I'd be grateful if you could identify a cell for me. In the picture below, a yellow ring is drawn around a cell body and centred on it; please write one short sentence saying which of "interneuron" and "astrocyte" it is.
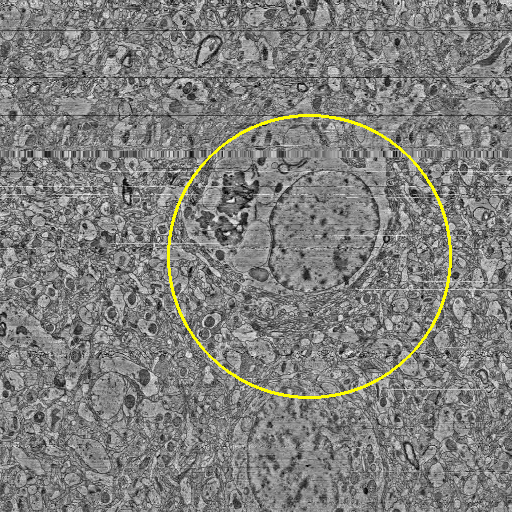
The cell under the ring's centre is an astrocyte.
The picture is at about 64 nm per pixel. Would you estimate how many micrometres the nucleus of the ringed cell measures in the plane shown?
About 9 by 7 micrometers for the nucleus, in this plane.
